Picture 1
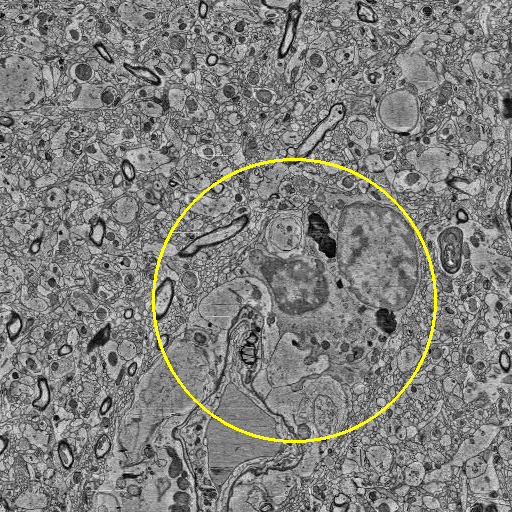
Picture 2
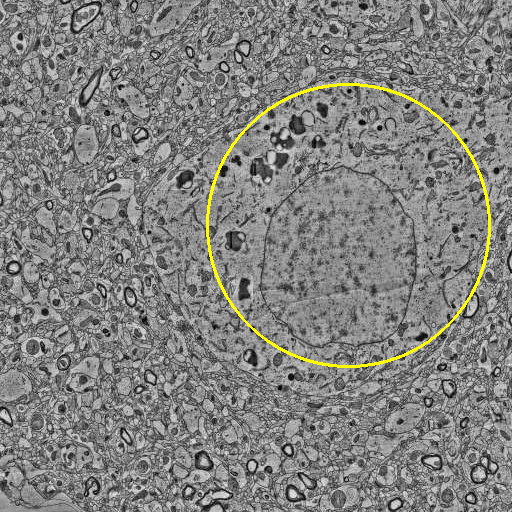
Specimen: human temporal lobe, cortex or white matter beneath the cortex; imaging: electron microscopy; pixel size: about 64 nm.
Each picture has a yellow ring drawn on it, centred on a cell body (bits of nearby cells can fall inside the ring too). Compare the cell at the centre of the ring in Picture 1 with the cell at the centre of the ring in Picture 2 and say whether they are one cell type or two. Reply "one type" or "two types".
two types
